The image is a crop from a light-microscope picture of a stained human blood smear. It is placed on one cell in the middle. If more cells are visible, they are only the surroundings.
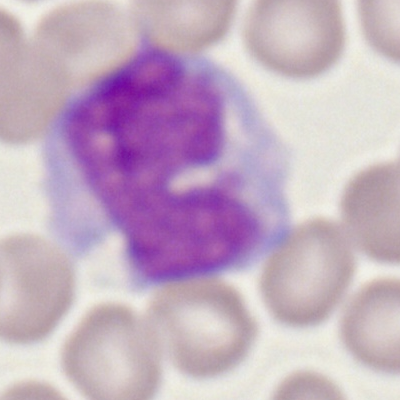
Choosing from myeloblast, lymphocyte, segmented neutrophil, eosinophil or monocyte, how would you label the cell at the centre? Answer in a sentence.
The cell in the exact centre of the crop is a monocyte.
